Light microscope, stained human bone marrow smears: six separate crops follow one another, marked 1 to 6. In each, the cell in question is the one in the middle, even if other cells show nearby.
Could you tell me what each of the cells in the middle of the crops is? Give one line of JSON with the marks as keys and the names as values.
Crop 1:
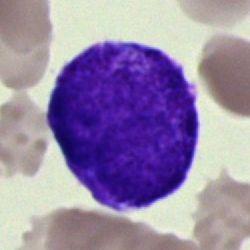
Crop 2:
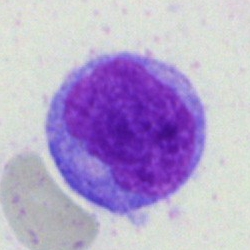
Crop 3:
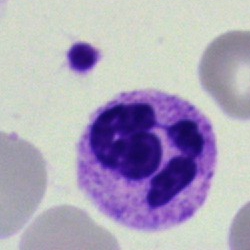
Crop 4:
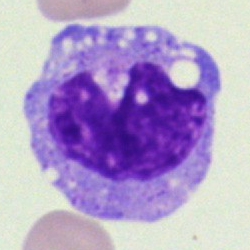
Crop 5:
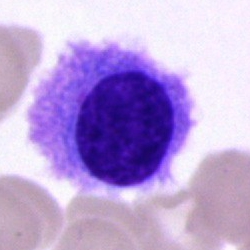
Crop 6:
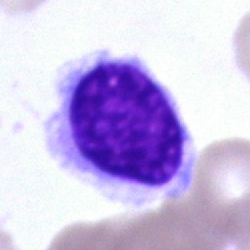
{"1": "promyelocyte", "2": "monocyte", "3": "segmented neutrophil", "4": "monocyte", "5": "hairy cell", "6": "hairy cell"}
